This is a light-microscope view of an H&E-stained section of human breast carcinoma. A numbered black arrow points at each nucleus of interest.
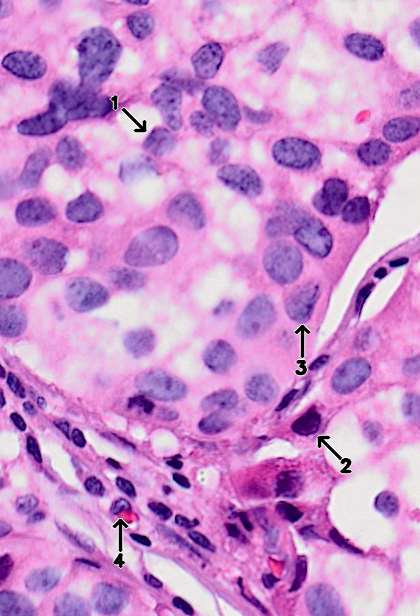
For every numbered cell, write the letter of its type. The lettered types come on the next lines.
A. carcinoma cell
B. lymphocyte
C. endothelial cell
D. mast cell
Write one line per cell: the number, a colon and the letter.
1: A
2: A
3: A
4: C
